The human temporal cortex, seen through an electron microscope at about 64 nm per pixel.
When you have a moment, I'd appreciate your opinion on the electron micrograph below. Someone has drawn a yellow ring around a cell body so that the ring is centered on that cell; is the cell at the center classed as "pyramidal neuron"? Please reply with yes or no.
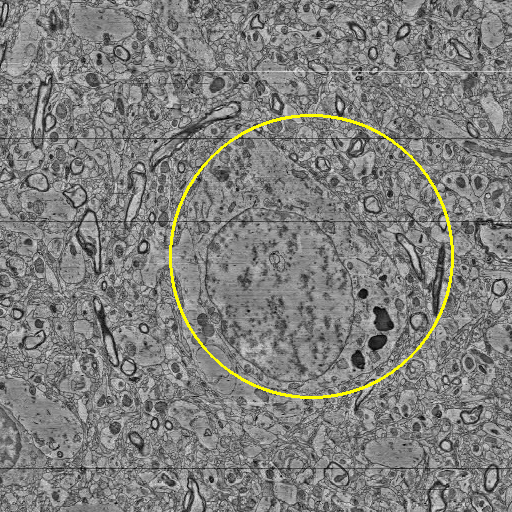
Yes, that cell is of the named kind.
